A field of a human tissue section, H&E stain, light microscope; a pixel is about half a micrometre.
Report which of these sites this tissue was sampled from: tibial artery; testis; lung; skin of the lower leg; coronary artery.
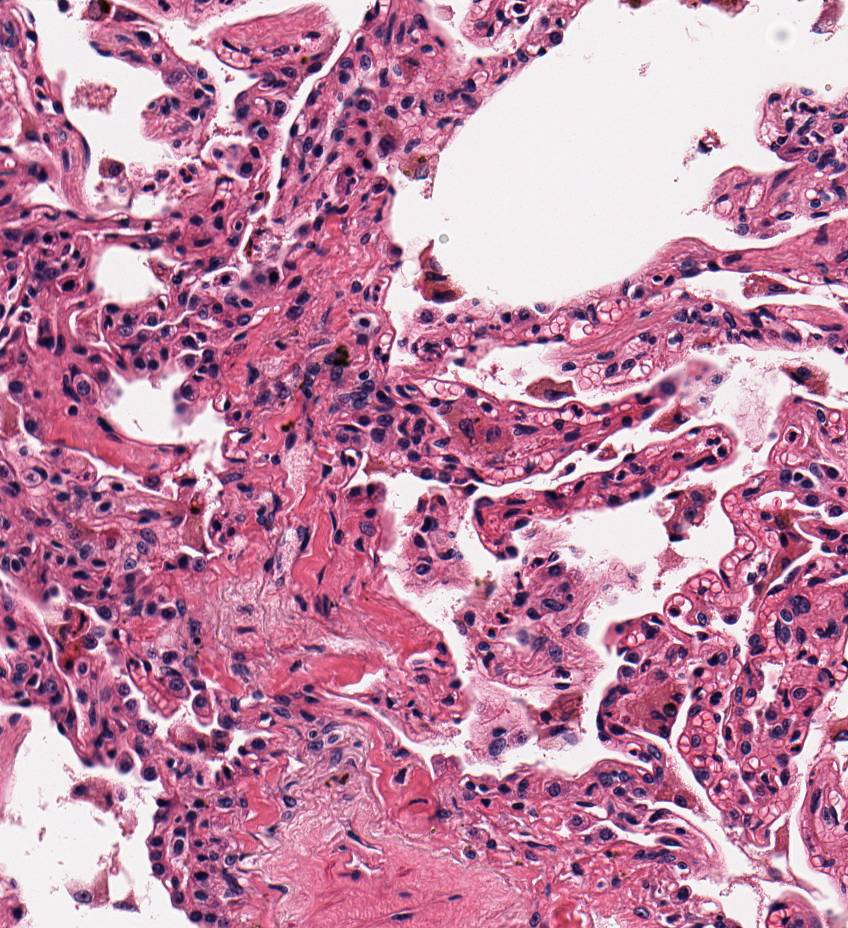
lung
